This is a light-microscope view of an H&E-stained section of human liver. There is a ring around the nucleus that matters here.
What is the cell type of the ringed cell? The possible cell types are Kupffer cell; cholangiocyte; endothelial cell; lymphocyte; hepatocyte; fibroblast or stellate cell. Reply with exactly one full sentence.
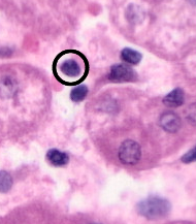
To be brief about it, the ringed cell is a lymphocyte.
